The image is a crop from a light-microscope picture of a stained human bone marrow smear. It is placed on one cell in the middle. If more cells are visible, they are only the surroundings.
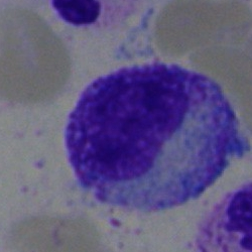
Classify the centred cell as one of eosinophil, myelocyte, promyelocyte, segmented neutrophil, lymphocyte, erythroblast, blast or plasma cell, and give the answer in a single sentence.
The cell positioned in the middle of the field is a myelocyte.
